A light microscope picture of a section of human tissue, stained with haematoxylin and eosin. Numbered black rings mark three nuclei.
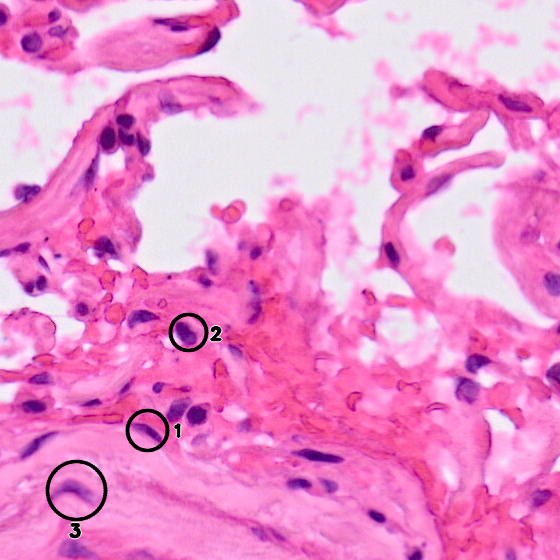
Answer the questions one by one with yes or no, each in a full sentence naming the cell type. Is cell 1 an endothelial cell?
Yes, the cell tagged with number 1 is an endothelial cell.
